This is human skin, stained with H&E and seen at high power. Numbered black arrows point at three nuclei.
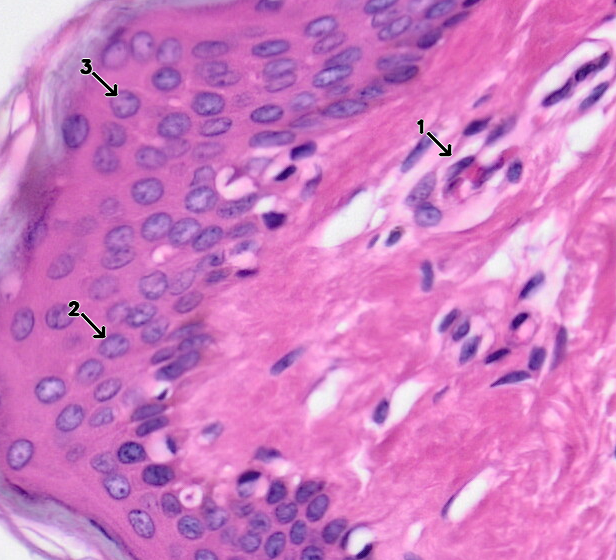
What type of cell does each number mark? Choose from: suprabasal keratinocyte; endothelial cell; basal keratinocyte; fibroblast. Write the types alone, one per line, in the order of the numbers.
endothelial cell
suprabasal keratinocyte
suprabasal keratinocyte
